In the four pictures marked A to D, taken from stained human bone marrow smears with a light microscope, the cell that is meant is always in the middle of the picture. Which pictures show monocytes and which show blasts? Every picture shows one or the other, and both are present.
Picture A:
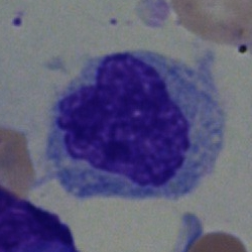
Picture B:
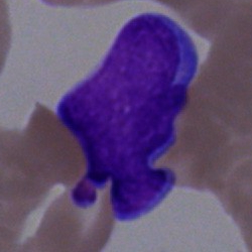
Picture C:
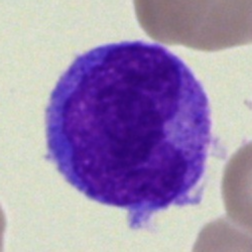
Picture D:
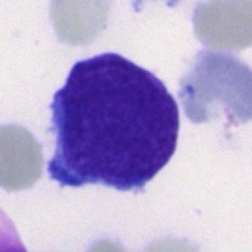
A: monocyte
B: blast
C: monocyte
D: blast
